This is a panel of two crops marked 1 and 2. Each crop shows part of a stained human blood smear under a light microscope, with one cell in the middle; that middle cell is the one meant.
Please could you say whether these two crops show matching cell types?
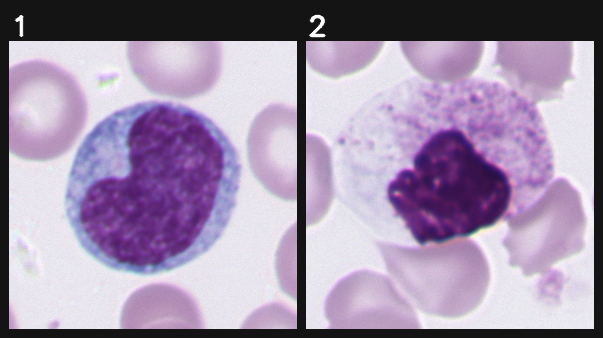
no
